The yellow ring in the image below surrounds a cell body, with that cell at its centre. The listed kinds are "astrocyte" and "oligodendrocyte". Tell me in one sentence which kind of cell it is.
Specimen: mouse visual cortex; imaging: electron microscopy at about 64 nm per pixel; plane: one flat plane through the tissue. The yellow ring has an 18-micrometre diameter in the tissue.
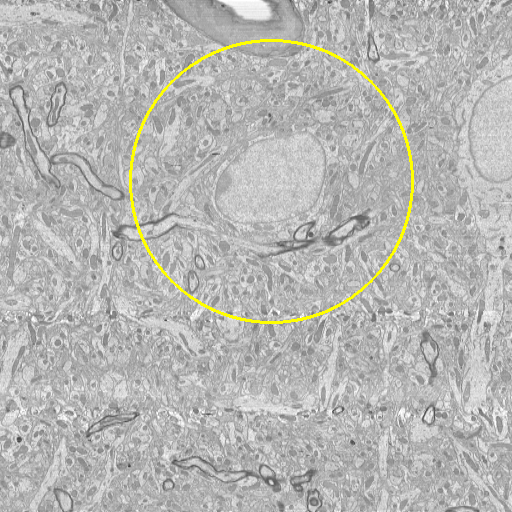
The centre of the ring holds an astrocyte.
